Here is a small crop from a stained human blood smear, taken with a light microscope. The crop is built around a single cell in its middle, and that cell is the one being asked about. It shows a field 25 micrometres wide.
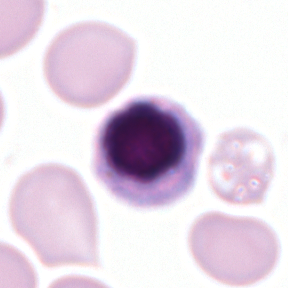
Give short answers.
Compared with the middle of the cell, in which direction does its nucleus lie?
upper left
